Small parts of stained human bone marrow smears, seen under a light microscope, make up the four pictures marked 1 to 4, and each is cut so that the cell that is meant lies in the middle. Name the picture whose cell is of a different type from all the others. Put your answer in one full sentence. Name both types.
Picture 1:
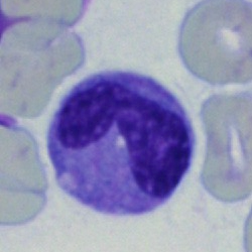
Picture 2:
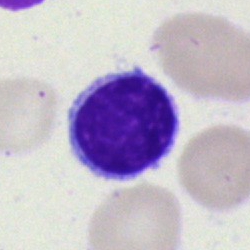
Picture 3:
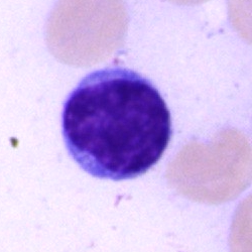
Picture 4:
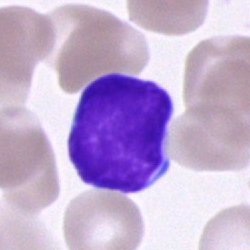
The others show lymphocytes, but picture 1 shows a monocyte.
